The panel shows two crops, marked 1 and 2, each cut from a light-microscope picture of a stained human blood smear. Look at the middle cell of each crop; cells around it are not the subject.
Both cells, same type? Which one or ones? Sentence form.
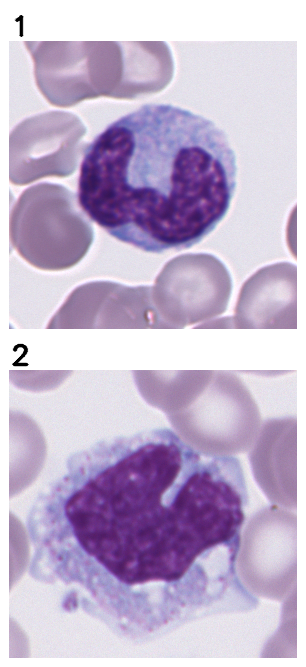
Yes, both crops are centred on cells that are monocytes.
